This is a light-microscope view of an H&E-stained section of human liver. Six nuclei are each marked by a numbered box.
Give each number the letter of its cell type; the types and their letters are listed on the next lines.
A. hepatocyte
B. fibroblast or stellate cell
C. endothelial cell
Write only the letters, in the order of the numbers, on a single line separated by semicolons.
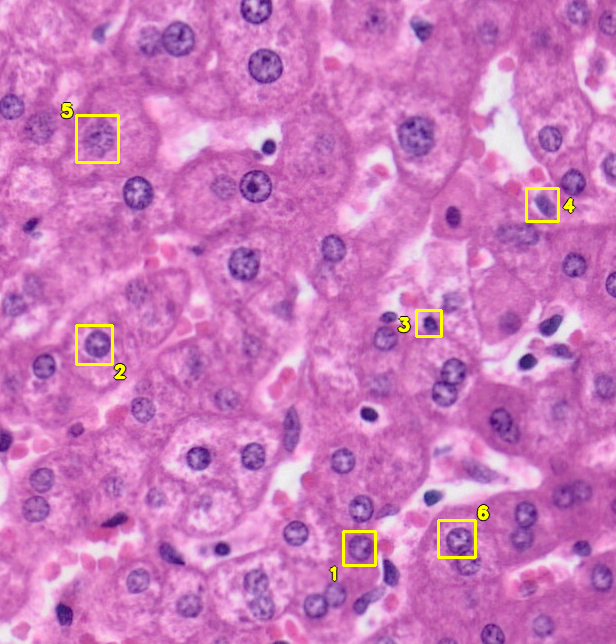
A; A; B; C; A; A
